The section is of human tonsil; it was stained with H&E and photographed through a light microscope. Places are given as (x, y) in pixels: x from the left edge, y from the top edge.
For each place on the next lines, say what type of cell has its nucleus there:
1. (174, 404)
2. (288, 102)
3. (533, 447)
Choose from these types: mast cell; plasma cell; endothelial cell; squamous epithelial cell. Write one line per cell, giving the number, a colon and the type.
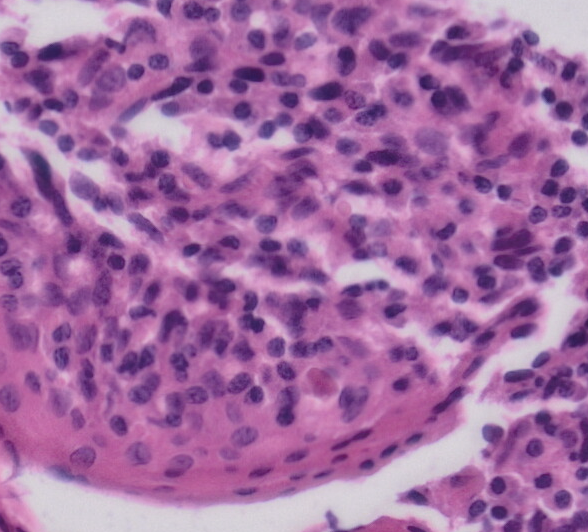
1: squamous epithelial cell
2: plasma cell
3: plasma cell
